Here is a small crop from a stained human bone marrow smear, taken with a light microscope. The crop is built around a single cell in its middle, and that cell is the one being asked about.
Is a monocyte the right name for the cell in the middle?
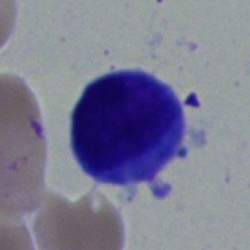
no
